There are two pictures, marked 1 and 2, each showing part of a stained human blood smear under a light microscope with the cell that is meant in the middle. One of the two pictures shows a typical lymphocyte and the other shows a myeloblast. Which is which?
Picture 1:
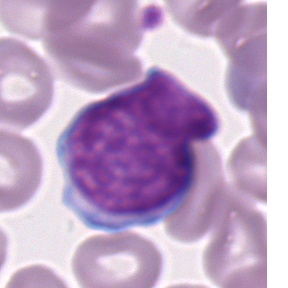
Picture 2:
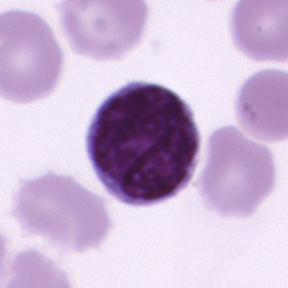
1: myeloblast
2: typical lymphocyte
